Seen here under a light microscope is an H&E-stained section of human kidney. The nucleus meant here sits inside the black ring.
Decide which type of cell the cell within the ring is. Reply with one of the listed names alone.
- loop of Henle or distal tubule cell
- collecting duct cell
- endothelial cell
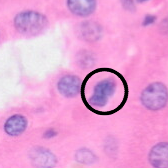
endothelial cell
